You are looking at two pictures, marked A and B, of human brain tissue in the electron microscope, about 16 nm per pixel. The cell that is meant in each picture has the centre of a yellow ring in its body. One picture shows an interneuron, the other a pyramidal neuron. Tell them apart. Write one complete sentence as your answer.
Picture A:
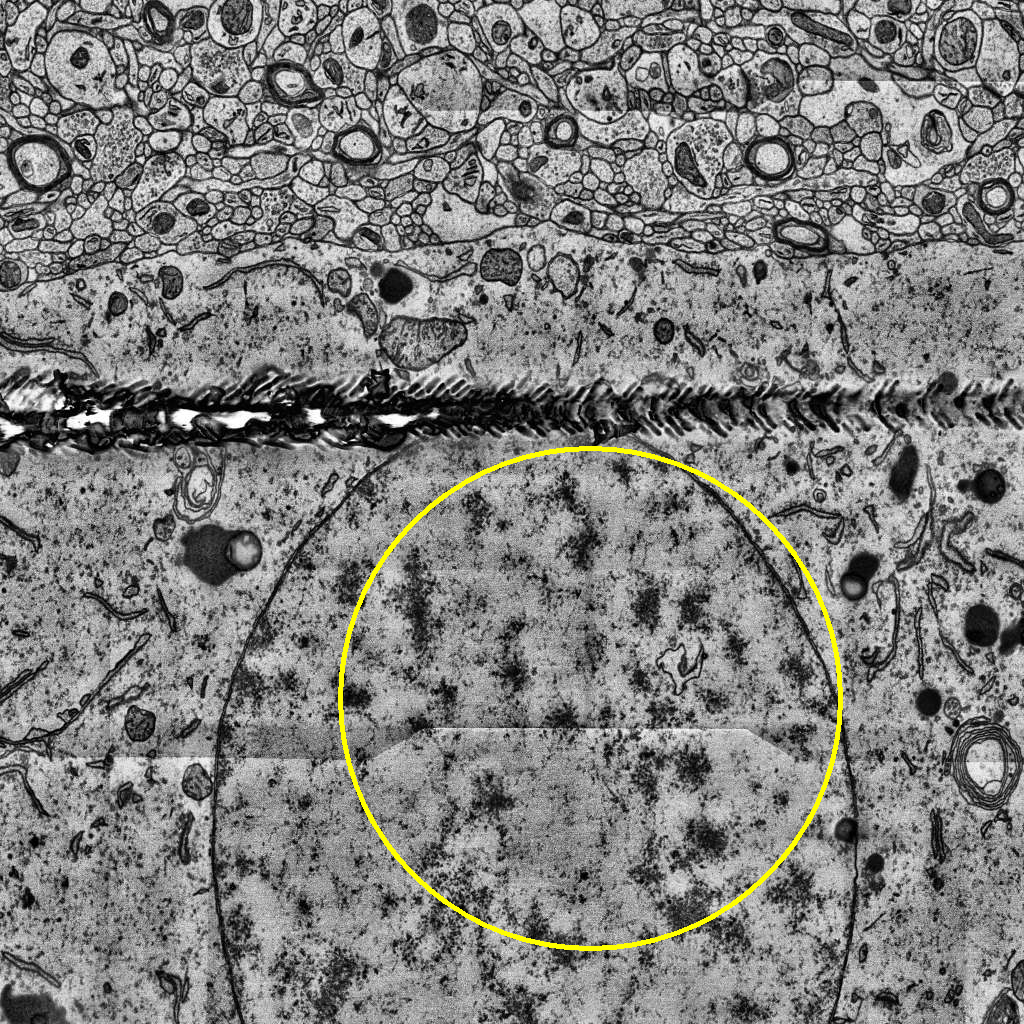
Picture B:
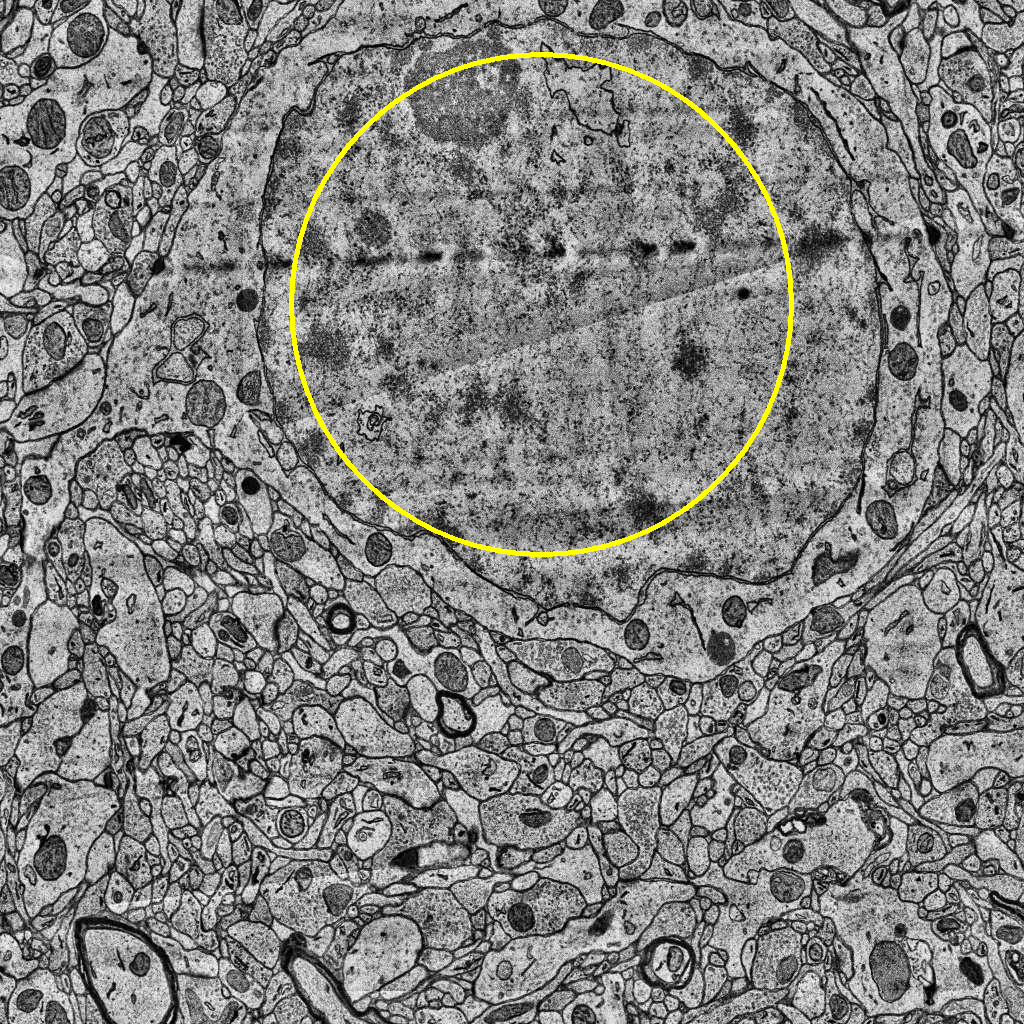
The cell in picture A is a pyramidal neuron, and the one in picture B is an interneuron.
